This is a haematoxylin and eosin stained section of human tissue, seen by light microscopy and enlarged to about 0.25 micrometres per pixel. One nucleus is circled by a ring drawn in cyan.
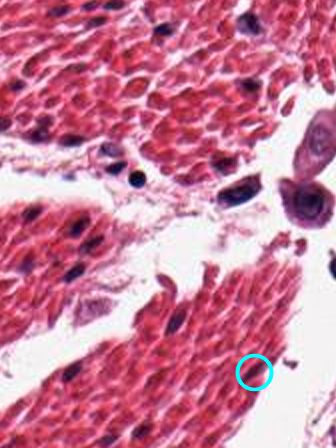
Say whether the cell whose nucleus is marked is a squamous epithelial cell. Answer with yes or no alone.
no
